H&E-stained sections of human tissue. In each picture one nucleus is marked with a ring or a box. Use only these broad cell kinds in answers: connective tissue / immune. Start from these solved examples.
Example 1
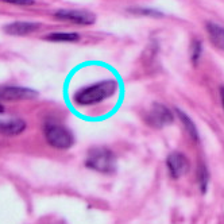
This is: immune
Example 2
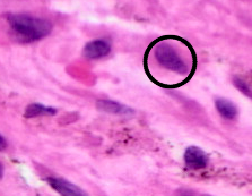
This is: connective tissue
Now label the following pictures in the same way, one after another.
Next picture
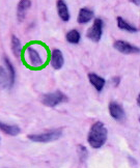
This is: connective tissue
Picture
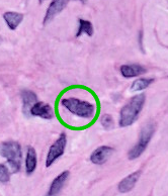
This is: connective tissue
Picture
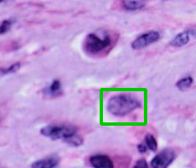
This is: immune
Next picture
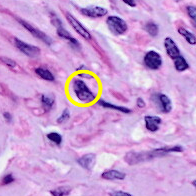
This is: immune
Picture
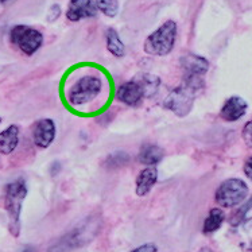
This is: immune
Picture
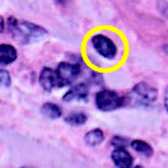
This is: immune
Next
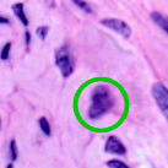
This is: connective tissue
